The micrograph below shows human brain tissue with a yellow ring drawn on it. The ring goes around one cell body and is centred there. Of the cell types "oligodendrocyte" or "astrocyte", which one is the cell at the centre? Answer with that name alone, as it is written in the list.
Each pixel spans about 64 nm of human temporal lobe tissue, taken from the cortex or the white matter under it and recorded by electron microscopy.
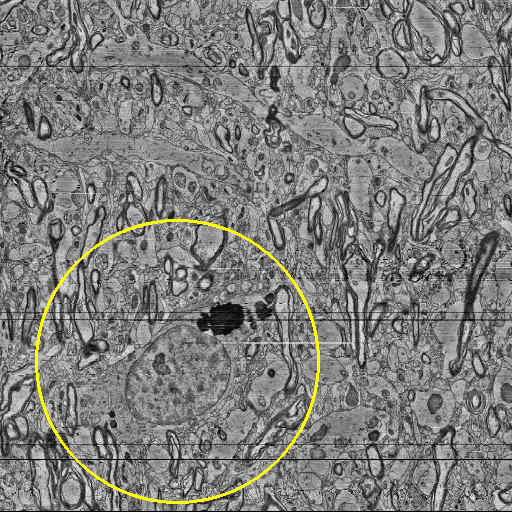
oligodendrocyte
